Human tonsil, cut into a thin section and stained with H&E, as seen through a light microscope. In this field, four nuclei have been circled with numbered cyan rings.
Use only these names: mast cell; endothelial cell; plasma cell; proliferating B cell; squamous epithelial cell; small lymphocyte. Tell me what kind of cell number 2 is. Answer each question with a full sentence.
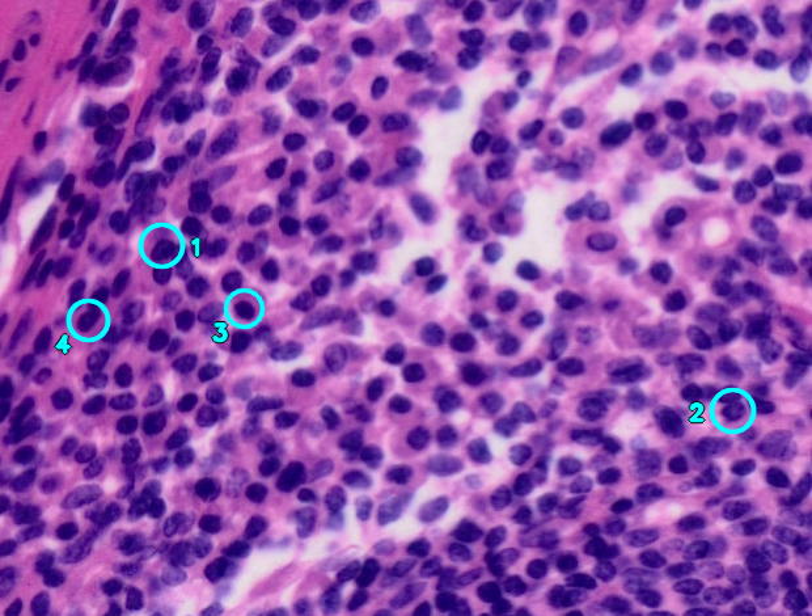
Among the marked cells, number 2 is a small lymphocyte.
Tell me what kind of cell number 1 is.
Number 1 is placed on a plasma cell here.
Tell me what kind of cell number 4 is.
The cell indicated by marker 4 is a plasma cell in this section.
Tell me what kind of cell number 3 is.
The cell marked with the number 3 is a plasma cell.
